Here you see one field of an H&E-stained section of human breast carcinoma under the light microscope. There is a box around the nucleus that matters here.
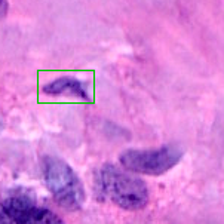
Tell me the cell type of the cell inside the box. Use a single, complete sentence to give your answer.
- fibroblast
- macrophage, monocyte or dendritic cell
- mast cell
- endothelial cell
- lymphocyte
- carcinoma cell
Among the cells in this section, the cell inside the box is a fibroblast.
